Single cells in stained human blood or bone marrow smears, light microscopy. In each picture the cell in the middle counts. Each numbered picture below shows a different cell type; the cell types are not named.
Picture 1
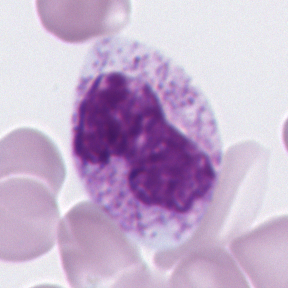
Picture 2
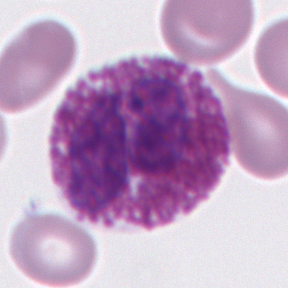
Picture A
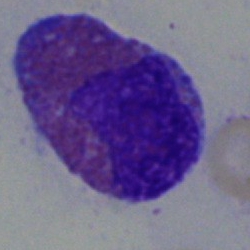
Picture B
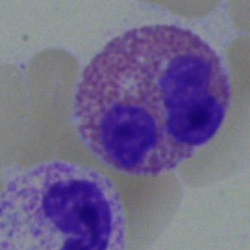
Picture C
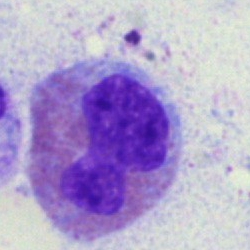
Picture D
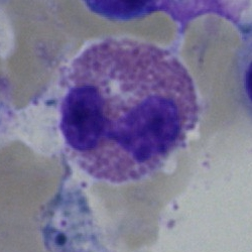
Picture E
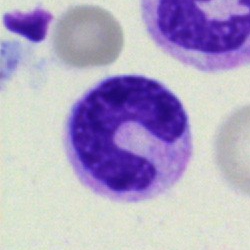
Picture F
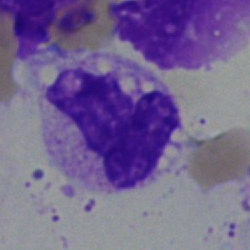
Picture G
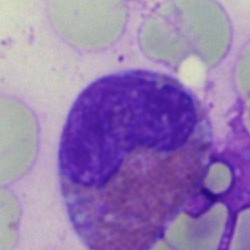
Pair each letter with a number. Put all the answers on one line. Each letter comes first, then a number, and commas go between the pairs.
A 2, B 2, C 2, D 2, E 1, F 1, G 2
